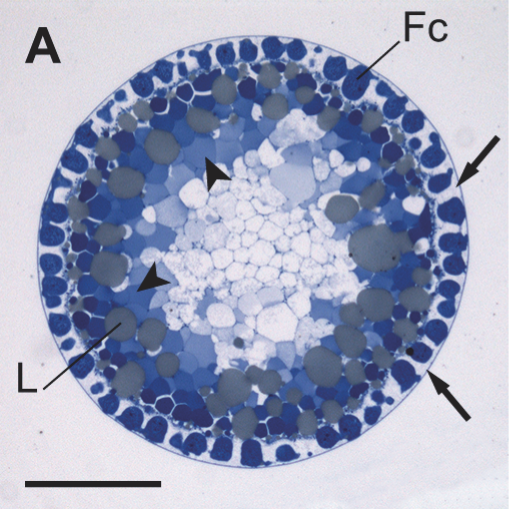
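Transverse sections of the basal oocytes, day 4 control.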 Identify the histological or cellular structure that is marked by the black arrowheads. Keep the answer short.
Yolk spheres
